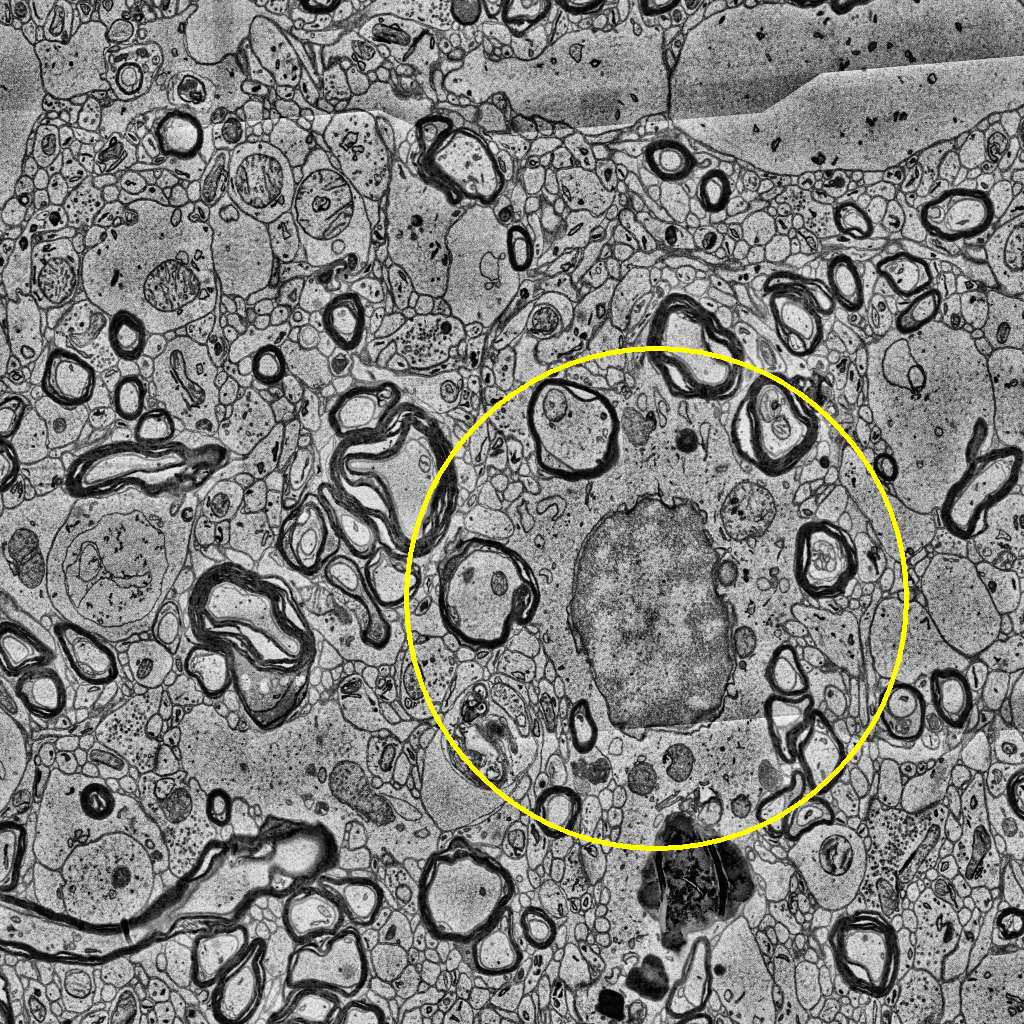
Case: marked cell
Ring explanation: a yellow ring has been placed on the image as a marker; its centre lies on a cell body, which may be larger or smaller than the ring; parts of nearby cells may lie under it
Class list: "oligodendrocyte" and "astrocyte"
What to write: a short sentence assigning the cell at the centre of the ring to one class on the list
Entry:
The cell at the ring's centre is an oligodendrocyte.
